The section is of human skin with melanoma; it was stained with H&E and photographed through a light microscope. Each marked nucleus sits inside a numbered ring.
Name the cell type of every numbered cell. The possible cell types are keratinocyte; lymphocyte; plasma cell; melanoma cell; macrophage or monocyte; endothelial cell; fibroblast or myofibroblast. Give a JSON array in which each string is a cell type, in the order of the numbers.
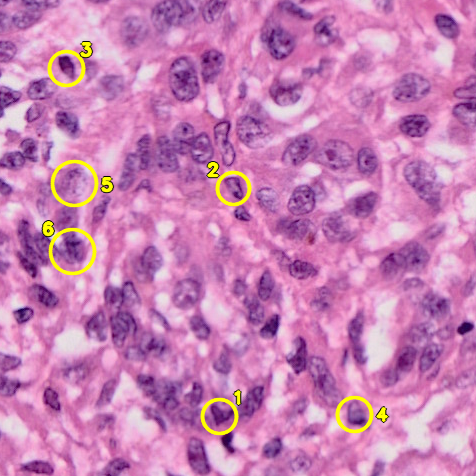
["melanoma cell", "macrophage or monocyte", "melanoma cell", "macrophage or monocyte", "melanoma cell", "melanoma cell"]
